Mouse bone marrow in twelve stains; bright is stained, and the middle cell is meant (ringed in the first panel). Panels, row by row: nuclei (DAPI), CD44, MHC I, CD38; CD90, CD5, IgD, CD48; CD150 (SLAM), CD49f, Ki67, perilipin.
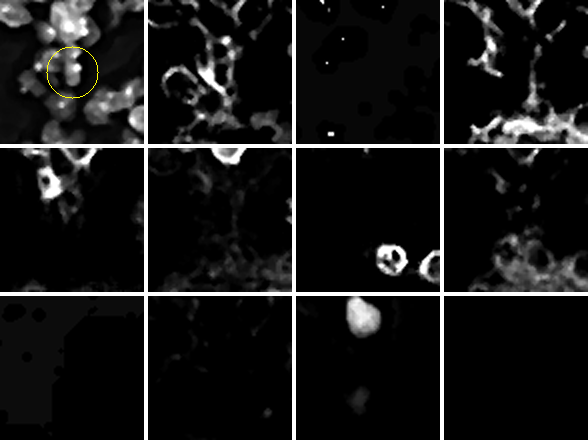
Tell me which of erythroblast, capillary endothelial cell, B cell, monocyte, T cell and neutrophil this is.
The picture shows a neutrophil.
